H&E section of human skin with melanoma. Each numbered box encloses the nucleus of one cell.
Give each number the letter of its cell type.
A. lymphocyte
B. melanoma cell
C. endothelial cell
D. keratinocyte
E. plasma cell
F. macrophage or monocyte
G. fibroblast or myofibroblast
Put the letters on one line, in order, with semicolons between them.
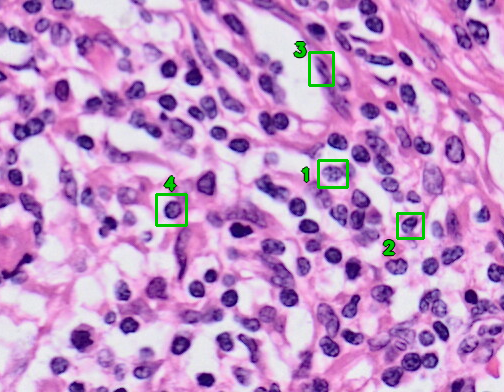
A; A; C; A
